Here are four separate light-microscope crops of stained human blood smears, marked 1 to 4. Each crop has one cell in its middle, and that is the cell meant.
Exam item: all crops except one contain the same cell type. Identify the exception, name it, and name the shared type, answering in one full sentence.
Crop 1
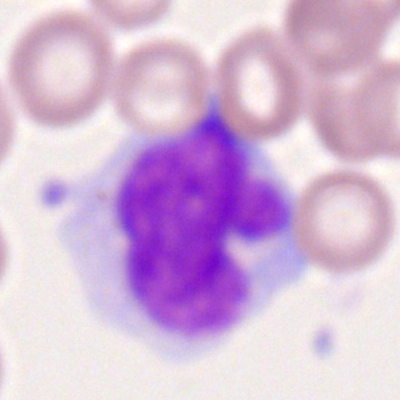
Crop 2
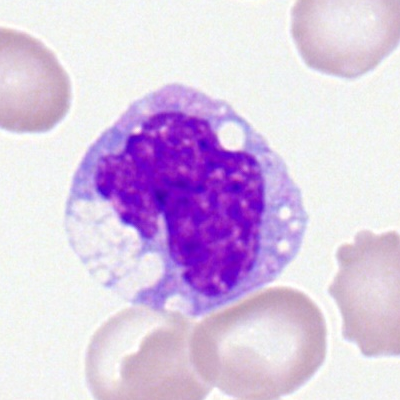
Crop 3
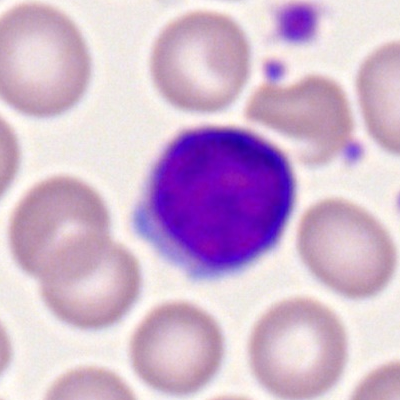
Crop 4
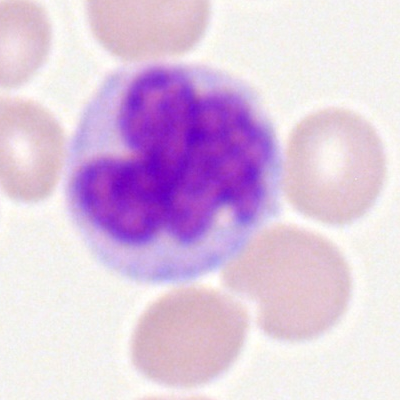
Crop 3 shows a lymphocyte; by contrast, all the other crops show monocytes.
